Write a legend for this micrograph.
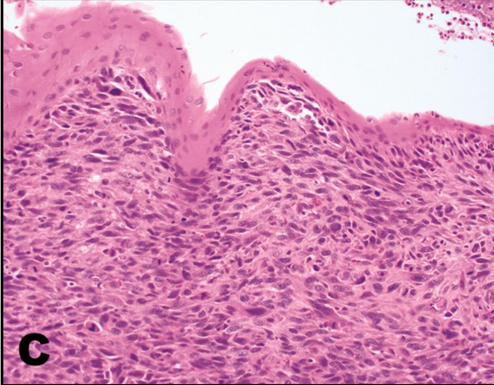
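A surface layer of stratified squamous epithelium with flattened pink cells overlies a dense proliferation of malignant spindle-shaped cells. The spindle cells, with elongated atypical nuclei, abut the base of the epithelium directly and appear continuous with it, while the squamous layer itself looks orderly.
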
